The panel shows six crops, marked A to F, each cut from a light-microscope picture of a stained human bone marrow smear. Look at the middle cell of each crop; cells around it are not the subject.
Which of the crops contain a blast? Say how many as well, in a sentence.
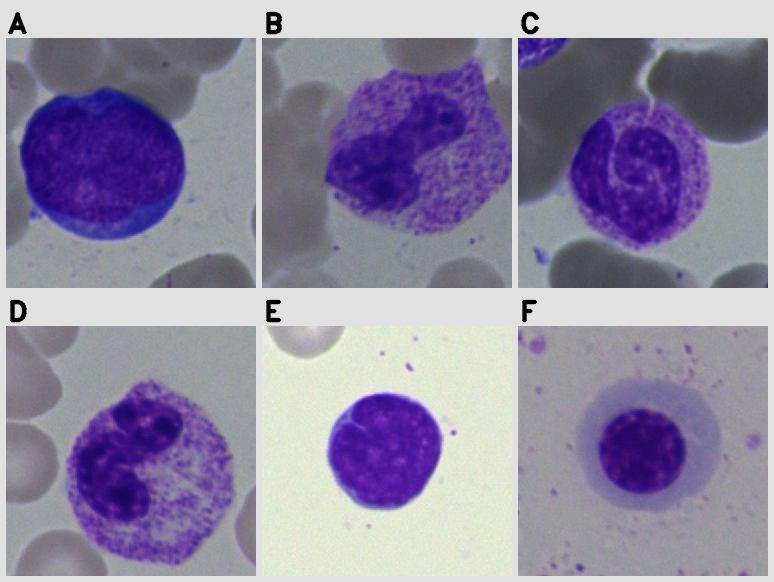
Crop A is the only crop here that contains a blast.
